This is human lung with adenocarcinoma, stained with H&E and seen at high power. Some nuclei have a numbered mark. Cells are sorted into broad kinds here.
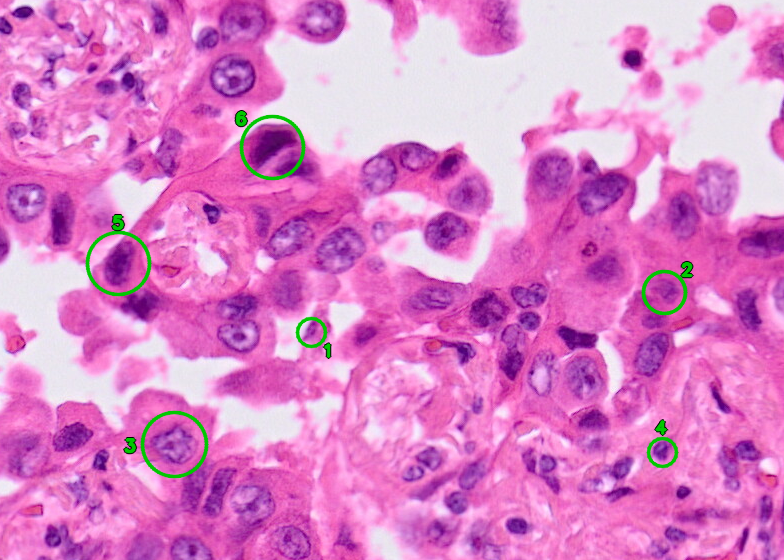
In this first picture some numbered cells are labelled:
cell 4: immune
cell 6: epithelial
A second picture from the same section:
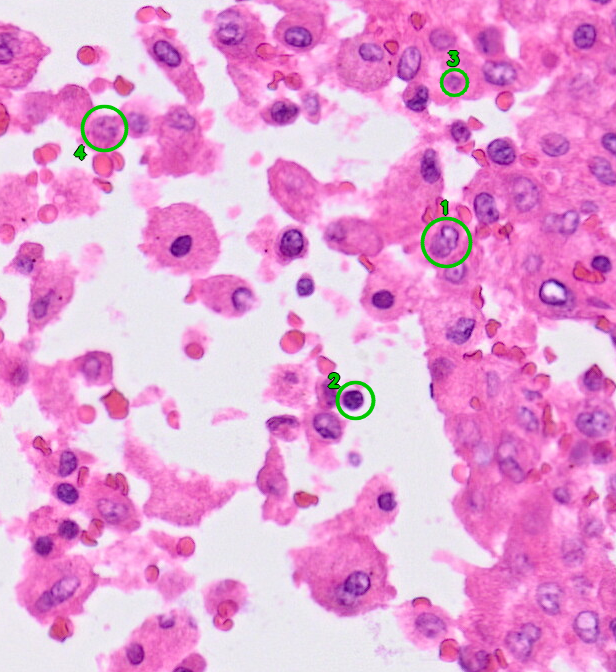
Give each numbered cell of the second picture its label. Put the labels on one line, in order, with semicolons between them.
immune; immune; immune; immune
